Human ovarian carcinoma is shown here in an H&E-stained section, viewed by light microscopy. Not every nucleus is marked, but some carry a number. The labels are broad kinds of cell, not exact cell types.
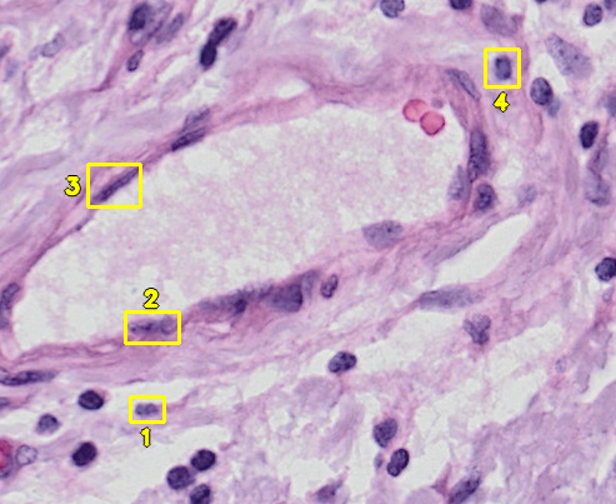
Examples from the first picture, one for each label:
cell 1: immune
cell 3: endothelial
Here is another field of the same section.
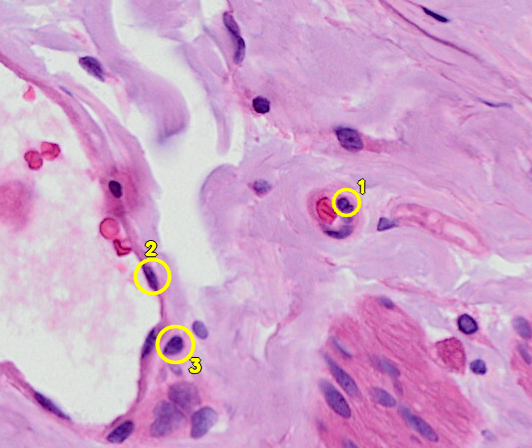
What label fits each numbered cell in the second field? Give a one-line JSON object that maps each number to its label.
{"1": "endothelial", "2": "endothelial", "3": "immune"}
